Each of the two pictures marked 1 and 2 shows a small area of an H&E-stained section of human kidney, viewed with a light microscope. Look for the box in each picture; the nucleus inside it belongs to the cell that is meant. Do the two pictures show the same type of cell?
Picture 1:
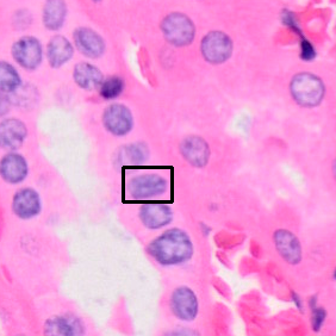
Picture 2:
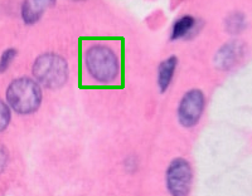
no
